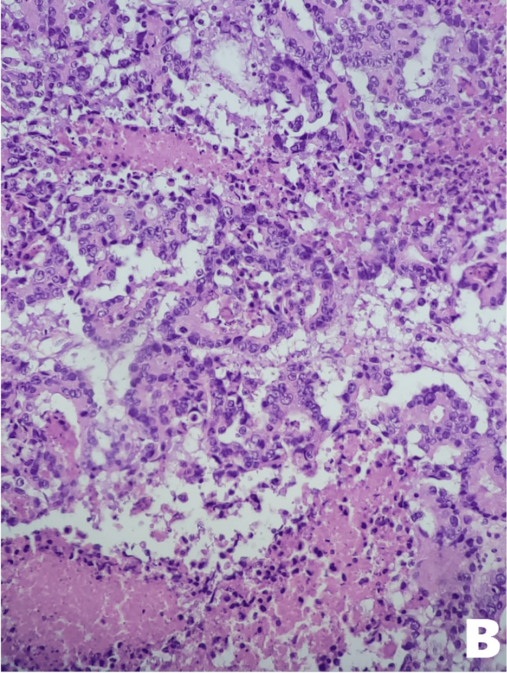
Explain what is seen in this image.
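Tumour tissue of an adenocarcinoma is shown at intermediate magnification, with crowded cells forming irregular gland-like structures around branching clear spaces. The gland-like rows are disorganised and vary in size and outline. Nuclei are enlarged, dark purple and vary in shape and size, with some showing visible nucleoli. The cytoplasm is pale pink. At the lower left and upper middle lie bands of pink amorphous material with scattered small dark nuclei. Loose pale areas with scattered cells separate the cell groups.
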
